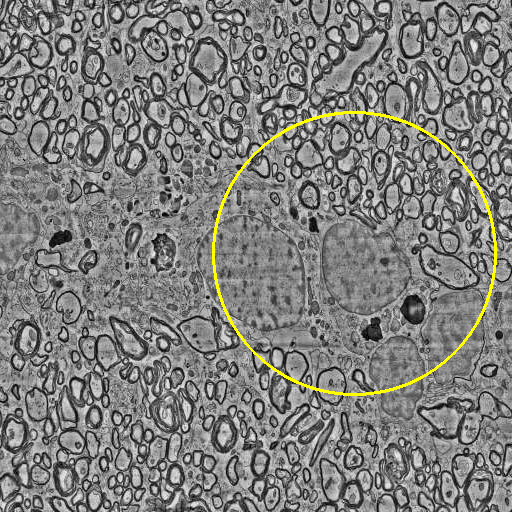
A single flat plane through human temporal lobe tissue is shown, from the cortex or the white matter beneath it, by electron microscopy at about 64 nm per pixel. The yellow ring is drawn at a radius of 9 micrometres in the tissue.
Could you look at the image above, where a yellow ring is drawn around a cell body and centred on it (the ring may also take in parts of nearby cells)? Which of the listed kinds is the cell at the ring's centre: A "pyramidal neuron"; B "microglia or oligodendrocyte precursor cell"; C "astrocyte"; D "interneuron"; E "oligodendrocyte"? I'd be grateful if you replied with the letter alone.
E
